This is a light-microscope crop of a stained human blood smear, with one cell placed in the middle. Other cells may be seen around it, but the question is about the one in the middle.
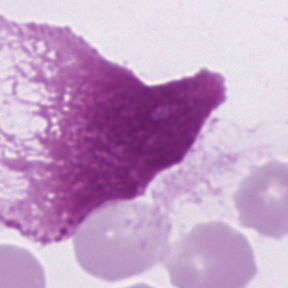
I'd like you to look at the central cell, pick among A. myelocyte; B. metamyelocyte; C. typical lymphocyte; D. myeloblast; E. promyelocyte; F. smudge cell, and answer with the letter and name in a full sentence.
According to option F, which is correct, the cell in the middle is a smudge cell.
